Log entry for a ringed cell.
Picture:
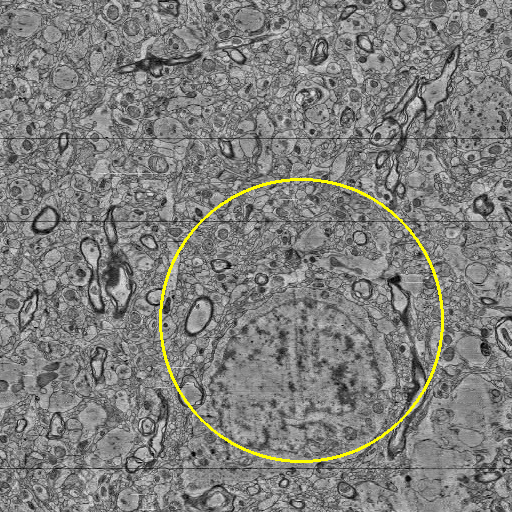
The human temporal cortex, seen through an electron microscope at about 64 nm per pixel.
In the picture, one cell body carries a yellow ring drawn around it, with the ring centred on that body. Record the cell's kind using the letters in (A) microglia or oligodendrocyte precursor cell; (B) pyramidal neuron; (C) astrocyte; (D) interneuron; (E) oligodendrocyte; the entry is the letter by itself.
D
